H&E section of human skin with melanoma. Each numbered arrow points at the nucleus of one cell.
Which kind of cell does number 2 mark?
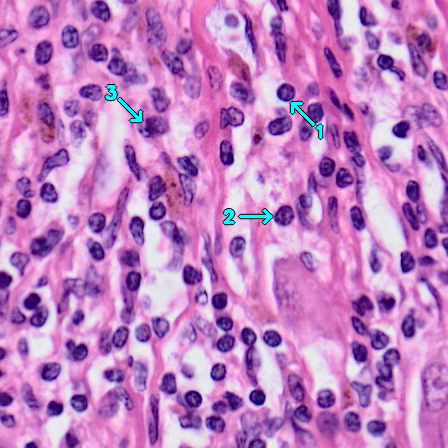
lymphocyte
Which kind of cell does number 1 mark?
lymphocyte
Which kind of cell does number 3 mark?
plasma cell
